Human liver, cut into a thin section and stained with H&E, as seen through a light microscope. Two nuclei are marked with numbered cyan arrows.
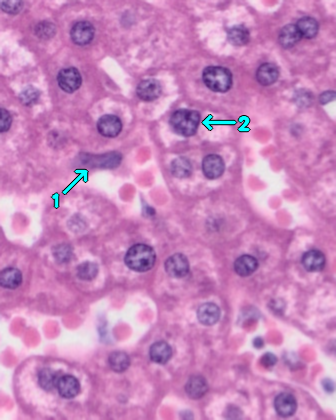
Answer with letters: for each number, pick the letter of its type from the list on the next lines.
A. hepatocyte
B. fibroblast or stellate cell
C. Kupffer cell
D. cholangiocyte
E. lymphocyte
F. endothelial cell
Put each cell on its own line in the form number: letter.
1: C
2: A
